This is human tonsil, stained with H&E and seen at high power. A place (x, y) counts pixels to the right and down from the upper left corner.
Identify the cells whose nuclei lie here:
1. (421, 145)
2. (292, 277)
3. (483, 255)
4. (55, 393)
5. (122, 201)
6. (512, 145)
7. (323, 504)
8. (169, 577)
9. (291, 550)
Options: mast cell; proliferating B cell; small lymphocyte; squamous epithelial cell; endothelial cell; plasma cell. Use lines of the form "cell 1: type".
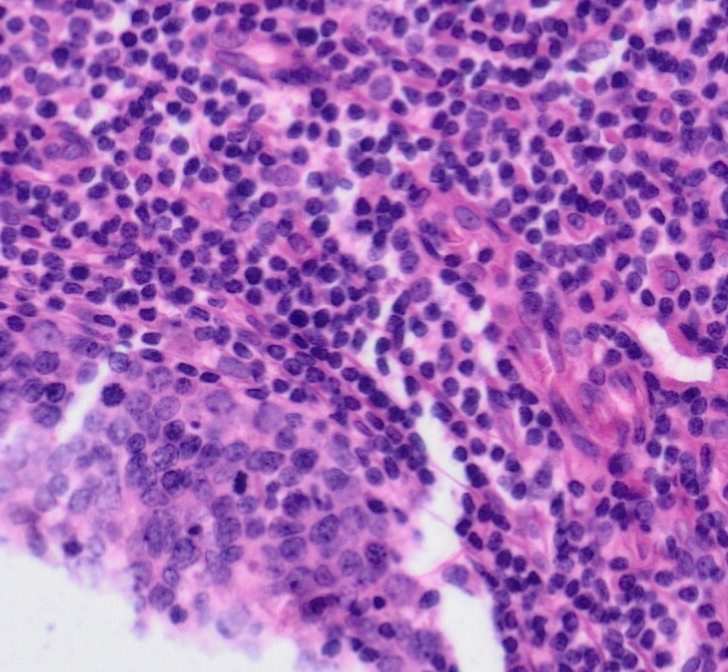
cell 1: small lymphocyte
cell 2: small lymphocyte
cell 3: endothelial cell
cell 4: proliferating B cell
cell 5: small lymphocyte
cell 6: small lymphocyte
cell 7: proliferating B cell
cell 8: proliferating B cell
cell 9: proliferating B cell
